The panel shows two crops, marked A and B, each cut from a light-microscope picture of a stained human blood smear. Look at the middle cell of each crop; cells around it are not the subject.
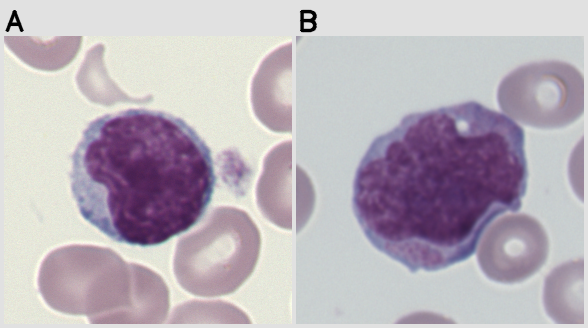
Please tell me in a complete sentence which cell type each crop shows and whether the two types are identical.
No, crop B centres on an atypical promyelocyte, and crop A centres on a monocyte.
